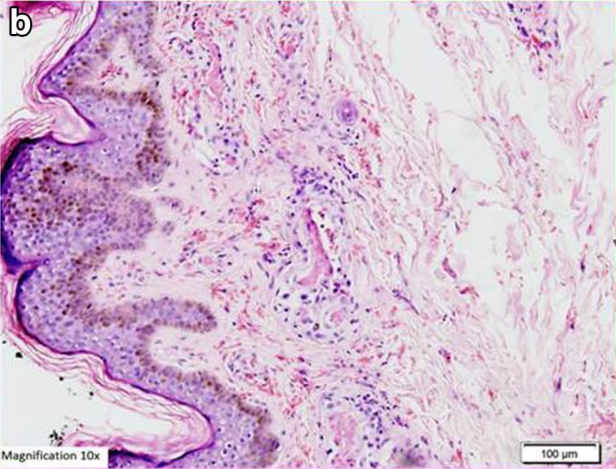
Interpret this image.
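This is skin, with an epidermis of keratinizing stratified squamous epithelium on the left and loose dermis to the right. The epithelium is several cells thick, covered by a thin pink keratin layer, and its basal cells carry brown pigment. The underlying dermis consists of pale pink, loosely arranged collagen bundles with scattered small vessels surrounded by small dark nuclei.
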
